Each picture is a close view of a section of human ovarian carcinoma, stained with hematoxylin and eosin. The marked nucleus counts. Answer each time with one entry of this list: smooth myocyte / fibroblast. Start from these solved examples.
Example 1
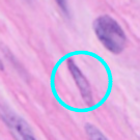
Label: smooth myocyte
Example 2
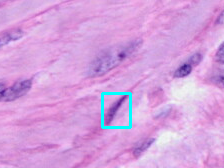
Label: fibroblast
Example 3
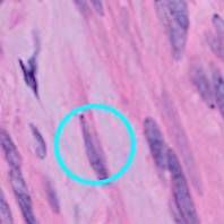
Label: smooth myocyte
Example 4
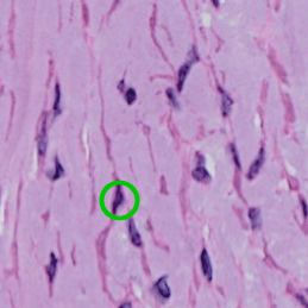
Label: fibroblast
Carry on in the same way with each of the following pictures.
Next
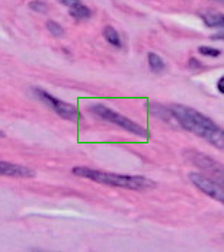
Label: smooth myocyte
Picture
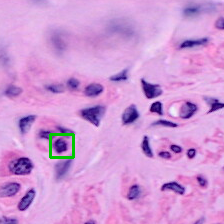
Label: smooth myocyte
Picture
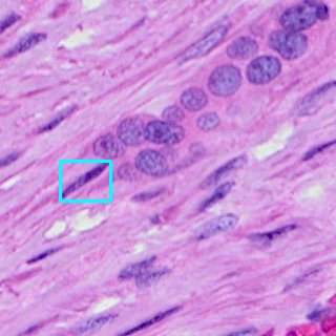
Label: fibroblast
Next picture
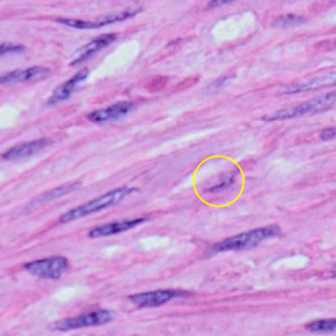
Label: fibroblast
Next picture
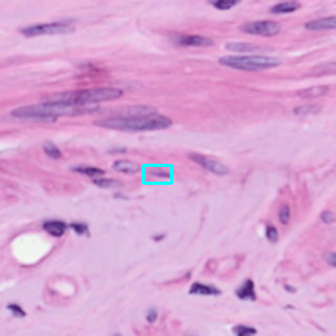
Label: smooth myocyte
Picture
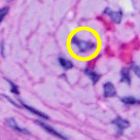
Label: fibroblast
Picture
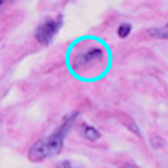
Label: fibroblast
